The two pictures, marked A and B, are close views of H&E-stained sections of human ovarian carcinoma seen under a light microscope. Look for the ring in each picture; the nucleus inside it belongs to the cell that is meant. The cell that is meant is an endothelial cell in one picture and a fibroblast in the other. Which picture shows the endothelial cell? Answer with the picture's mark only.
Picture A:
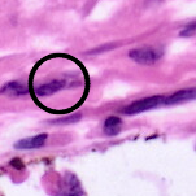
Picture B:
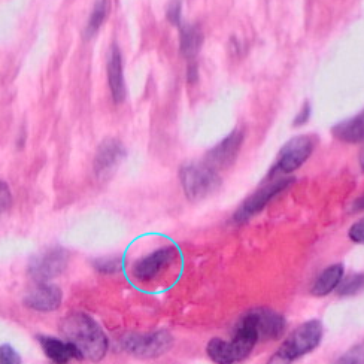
B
